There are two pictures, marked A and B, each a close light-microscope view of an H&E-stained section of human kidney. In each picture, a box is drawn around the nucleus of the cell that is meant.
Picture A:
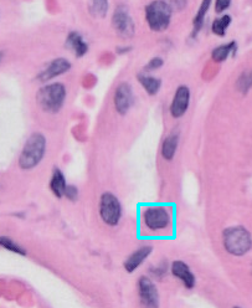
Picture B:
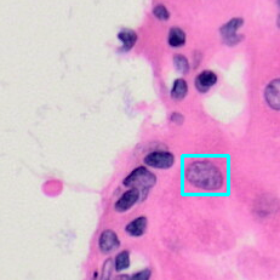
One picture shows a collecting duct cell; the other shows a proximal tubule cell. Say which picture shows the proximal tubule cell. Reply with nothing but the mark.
B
